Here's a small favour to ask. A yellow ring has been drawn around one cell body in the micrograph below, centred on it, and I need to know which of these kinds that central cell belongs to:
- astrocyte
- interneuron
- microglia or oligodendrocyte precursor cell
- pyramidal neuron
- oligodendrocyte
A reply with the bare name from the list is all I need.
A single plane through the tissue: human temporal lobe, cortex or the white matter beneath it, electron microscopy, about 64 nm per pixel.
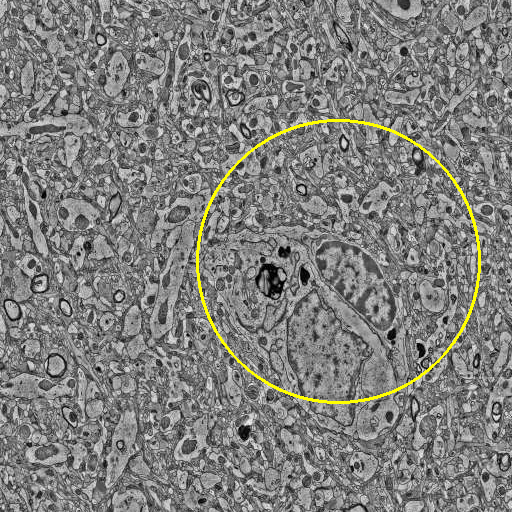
microglia or oligodendrocyte precursor cell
